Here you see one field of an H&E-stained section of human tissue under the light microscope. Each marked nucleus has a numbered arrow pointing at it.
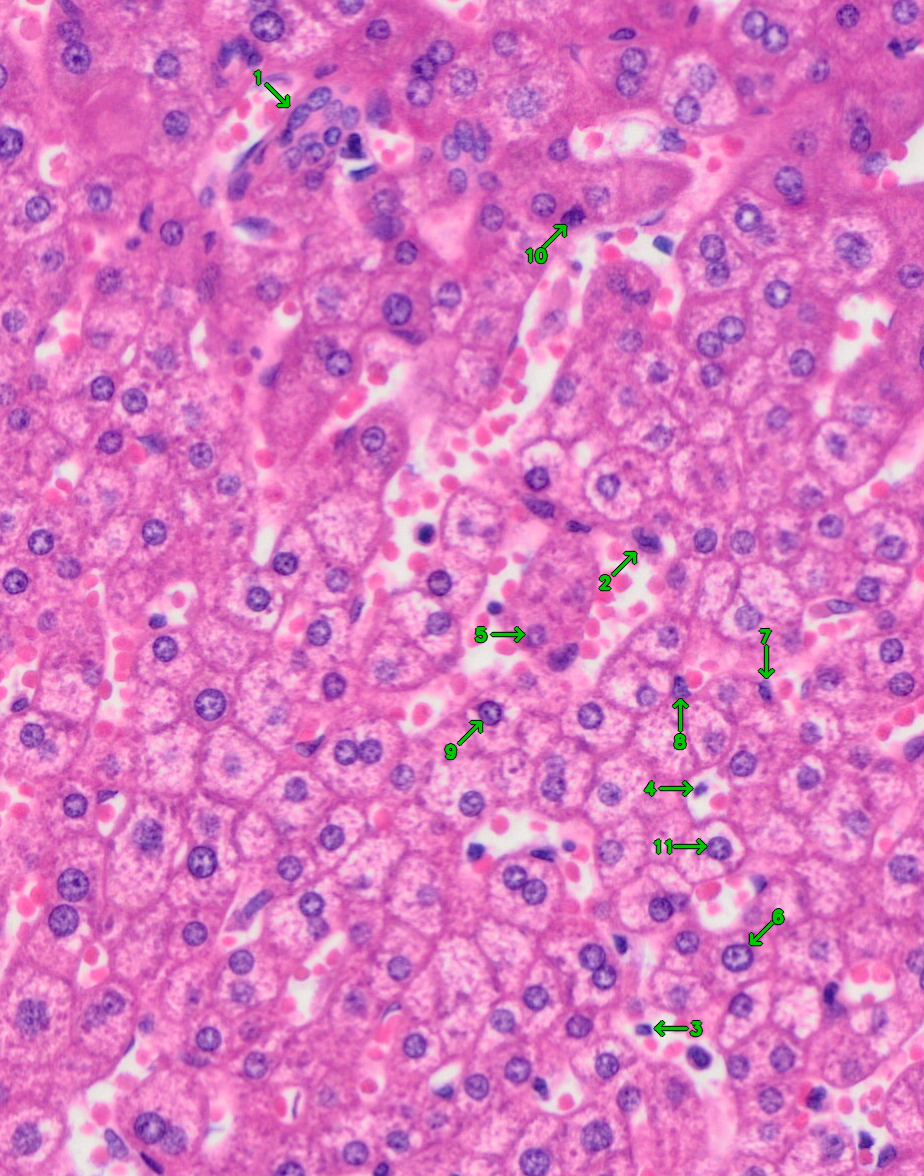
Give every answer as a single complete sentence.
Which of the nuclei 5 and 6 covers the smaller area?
Nucleus 5 covers less area, with nucleus 6 about 2 times as large.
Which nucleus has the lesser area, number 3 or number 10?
The smaller nucleus is 3, and 10 covers roughly 2 times its area.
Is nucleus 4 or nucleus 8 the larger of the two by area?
Nucleus 8 is larger, with an area about 2.5 times that of nucleus 4.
